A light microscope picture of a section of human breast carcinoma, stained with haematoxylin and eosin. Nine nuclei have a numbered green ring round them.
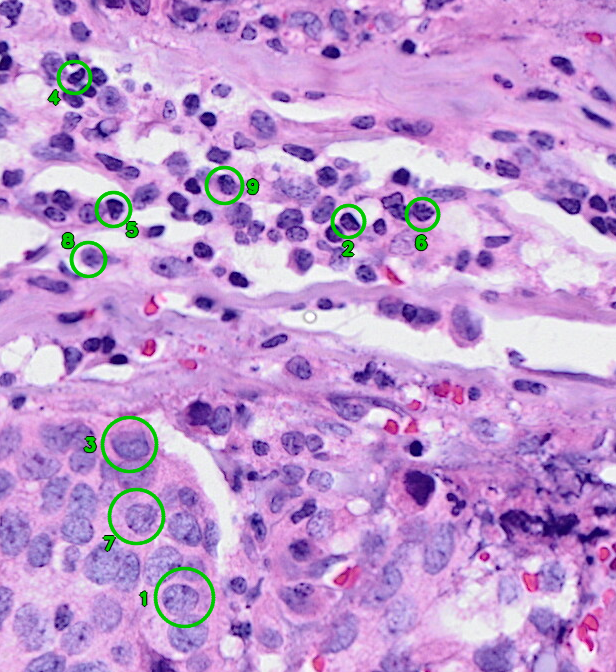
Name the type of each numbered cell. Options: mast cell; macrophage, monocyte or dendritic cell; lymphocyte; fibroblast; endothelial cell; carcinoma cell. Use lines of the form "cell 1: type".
cell 1: carcinoma cell
cell 2: lymphocyte
cell 3: carcinoma cell
cell 4: lymphocyte
cell 5: lymphocyte
cell 6: lymphocyte
cell 7: carcinoma cell
cell 8: mast cell
cell 9: lymphocyte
